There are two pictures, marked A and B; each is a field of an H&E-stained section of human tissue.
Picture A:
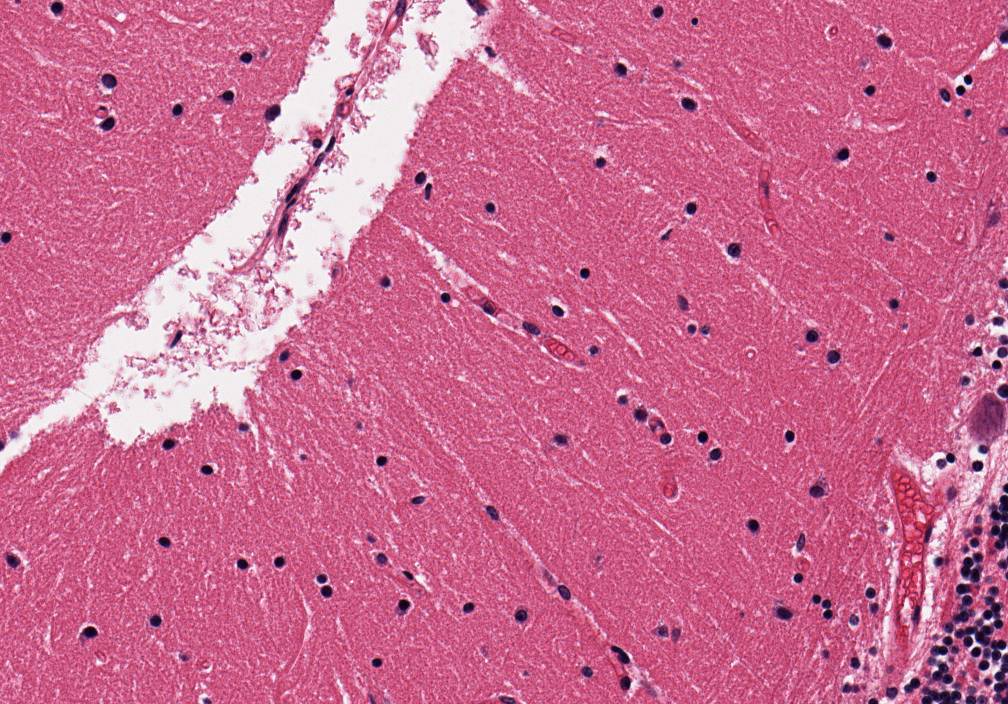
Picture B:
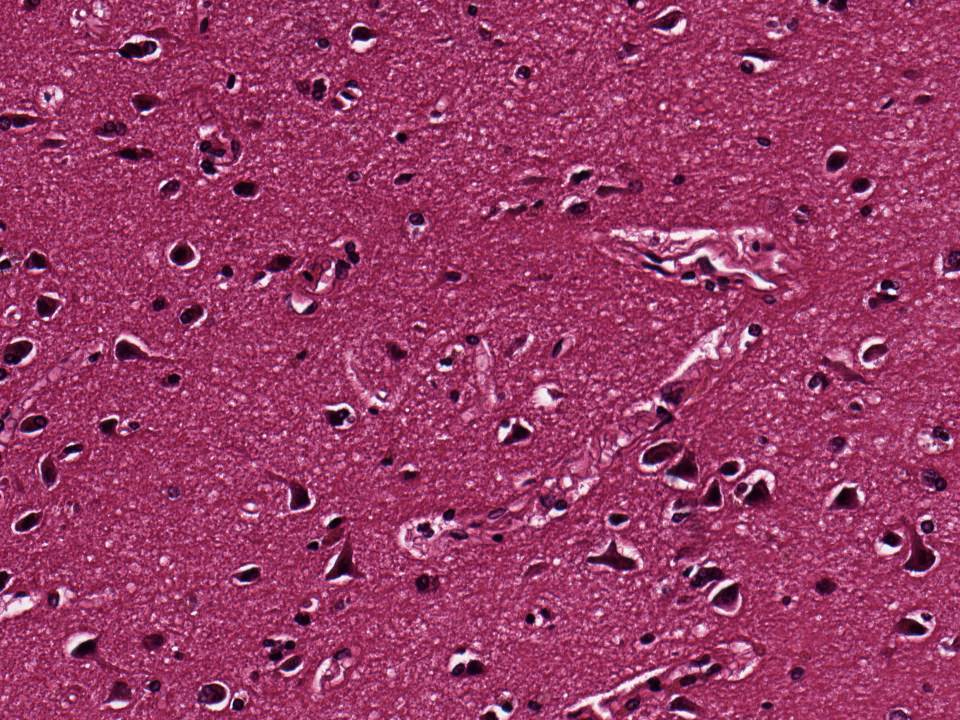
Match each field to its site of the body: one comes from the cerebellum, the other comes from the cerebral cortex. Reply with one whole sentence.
Picture A comes from the cerebellum and picture B comes from the cerebral cortex.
